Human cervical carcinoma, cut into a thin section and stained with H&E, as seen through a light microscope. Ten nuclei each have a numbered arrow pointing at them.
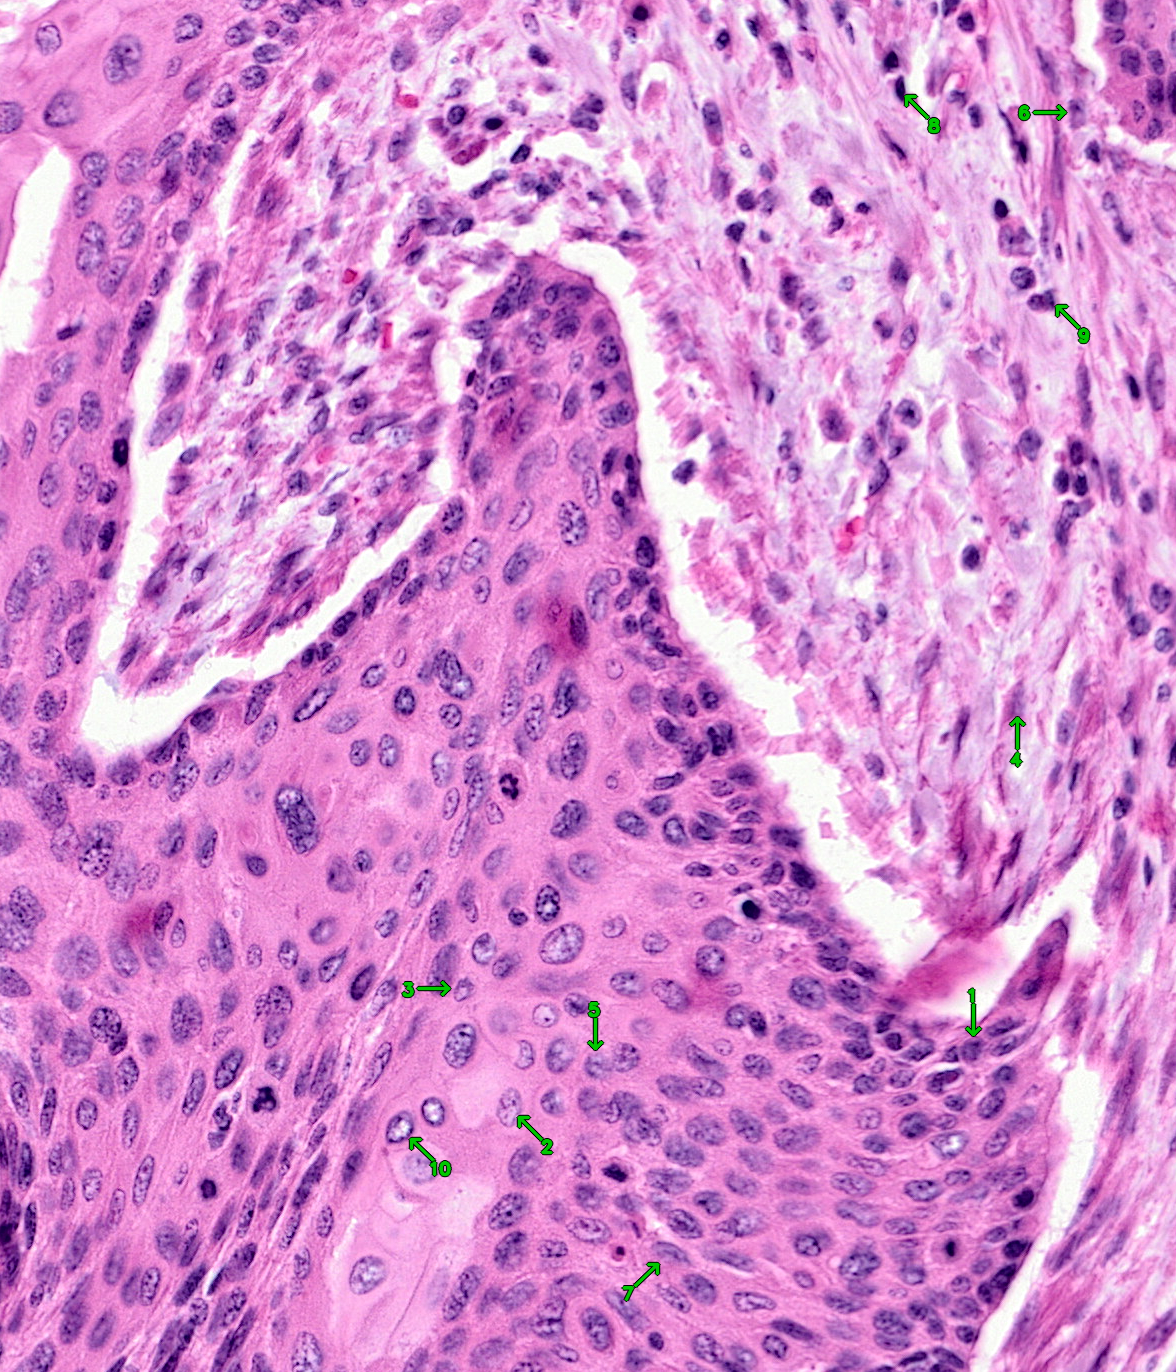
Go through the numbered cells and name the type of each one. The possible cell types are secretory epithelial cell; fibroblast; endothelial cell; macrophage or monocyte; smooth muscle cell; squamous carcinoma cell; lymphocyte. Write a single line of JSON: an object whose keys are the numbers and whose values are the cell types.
{"1": "squamous carcinoma cell", "2": "squamous carcinoma cell", "3": "squamous carcinoma cell", "4": "fibroblast", "5": "squamous carcinoma cell", "6": "fibroblast", "7": "squamous carcinoma cell", "8": "lymphocyte", "9": "lymphocyte", "10": "squamous carcinoma cell"}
